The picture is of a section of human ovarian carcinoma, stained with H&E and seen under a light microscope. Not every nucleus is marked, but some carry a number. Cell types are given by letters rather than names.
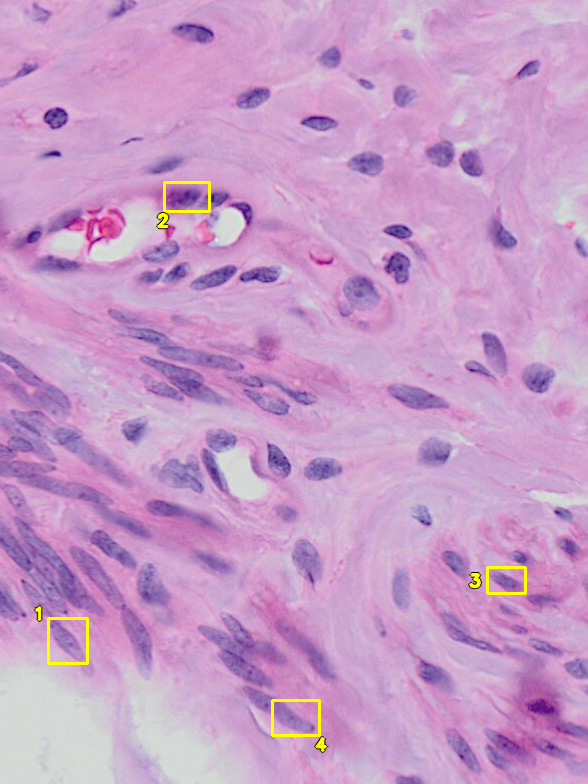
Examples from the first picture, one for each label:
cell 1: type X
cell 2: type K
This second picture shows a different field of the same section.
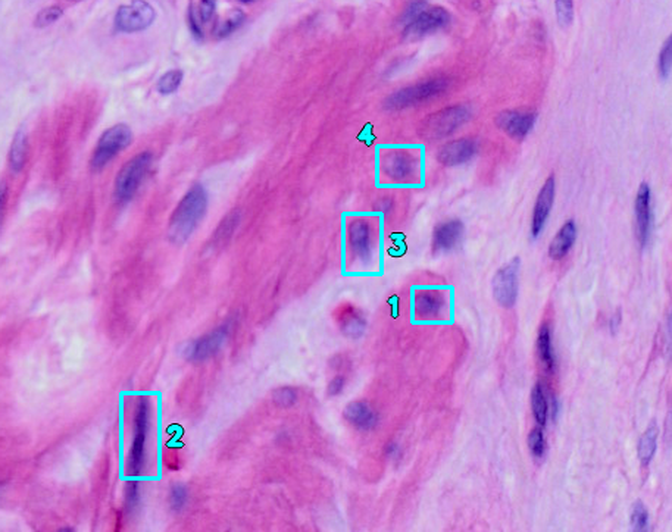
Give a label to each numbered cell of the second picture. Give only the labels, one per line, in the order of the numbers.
type X
type K
type X
type X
